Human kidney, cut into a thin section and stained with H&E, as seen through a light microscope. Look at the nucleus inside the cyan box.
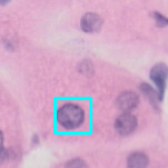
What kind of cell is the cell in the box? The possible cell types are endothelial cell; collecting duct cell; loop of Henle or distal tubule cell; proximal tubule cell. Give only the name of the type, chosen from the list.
proximal tubule cell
